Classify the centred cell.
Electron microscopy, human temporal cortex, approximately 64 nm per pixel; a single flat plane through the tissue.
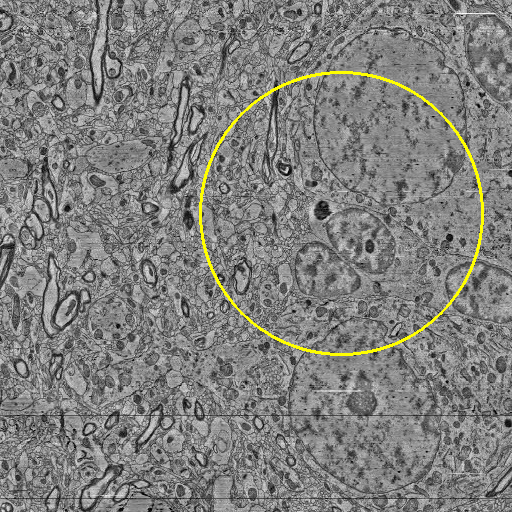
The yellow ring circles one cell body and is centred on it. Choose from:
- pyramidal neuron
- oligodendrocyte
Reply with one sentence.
The ring is centred on an oligodendrocyte.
